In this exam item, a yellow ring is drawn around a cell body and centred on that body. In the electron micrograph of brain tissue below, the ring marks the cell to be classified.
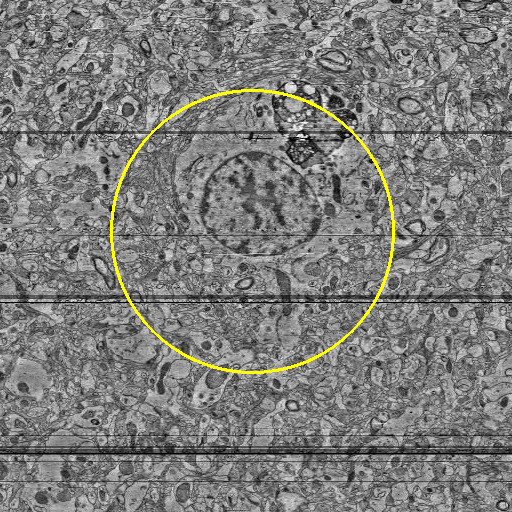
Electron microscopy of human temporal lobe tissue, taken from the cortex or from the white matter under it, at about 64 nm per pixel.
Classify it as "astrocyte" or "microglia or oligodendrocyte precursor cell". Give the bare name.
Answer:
astrocyte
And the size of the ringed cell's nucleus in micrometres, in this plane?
In this plane the nucleus measures roughly 7 micrometres across.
